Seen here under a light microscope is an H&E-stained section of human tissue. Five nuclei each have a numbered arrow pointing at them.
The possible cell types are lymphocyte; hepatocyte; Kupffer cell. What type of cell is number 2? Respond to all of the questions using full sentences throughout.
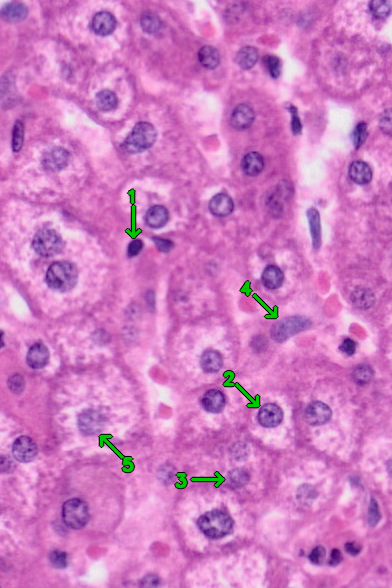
Cell number 2 in this section is a hepatocyte.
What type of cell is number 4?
The cell referred to as 4 is a Kupffer cell.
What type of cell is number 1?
The numbered cell 1 in this field is a lymphocyte.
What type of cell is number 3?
The numbered cell 3 in this field is a hepatocyte.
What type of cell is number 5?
Recognised here as a hepatocyte is the cell numbered 5.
